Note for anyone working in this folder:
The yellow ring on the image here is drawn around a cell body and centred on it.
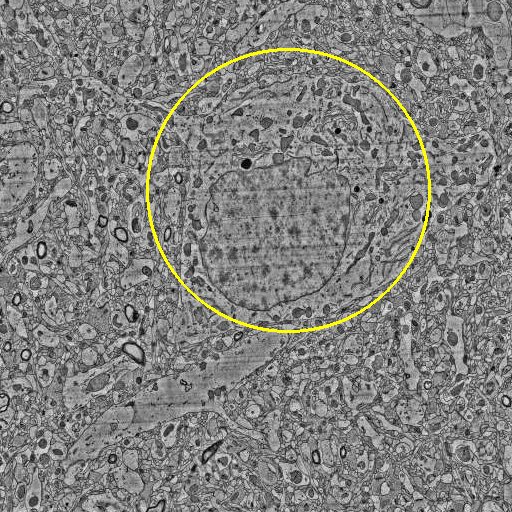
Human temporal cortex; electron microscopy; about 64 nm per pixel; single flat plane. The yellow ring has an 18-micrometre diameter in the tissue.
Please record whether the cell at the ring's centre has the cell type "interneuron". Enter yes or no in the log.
yes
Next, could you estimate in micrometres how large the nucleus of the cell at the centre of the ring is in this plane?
Approximately 10 micrometres across in this plane.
